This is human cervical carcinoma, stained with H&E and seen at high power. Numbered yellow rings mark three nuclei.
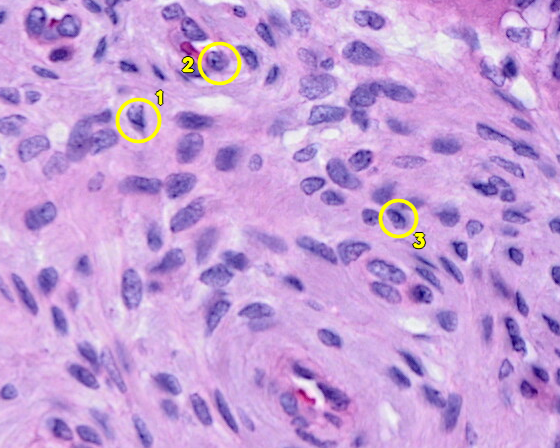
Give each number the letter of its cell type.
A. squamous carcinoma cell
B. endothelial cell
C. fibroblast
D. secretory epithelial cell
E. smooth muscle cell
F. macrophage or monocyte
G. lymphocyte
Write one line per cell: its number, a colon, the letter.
1: C
2: B
3: C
